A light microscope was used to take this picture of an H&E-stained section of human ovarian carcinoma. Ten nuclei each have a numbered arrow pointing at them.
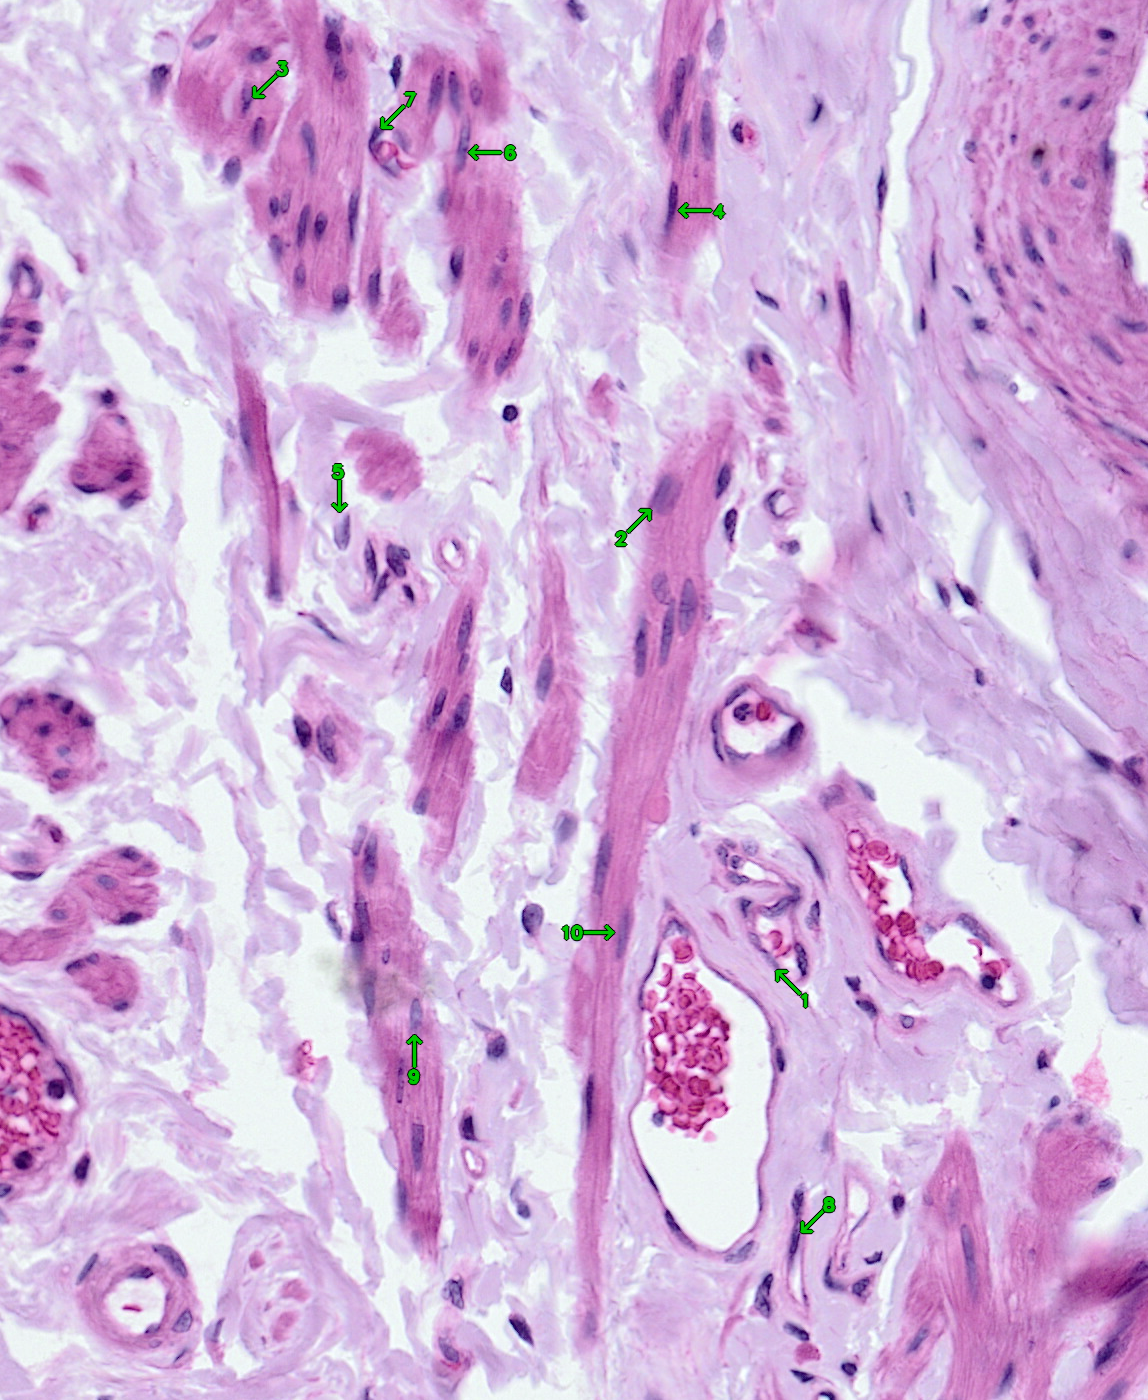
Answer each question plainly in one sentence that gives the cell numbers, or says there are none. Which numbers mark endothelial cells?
The cells numbered 1, 7 and 8 are of the kind known as endothelial cells.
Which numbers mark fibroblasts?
As for the numbered cells, only cell 5 is a fibroblast.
